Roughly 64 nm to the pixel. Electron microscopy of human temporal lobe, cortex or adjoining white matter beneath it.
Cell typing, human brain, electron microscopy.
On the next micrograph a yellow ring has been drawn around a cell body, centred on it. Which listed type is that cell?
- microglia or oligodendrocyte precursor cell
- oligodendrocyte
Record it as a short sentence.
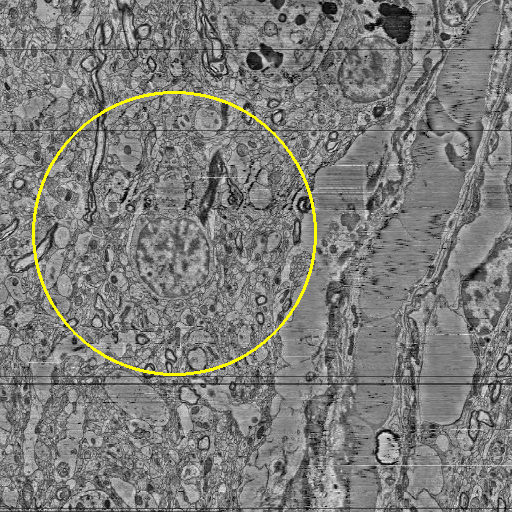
The cell body in the ring's centre belongs to an oligodendrocyte.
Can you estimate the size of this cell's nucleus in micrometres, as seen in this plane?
The nucleus appears about 5 micrometres across in this plane.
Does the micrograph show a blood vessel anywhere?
Yes, a blood vessel is present in this picture.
